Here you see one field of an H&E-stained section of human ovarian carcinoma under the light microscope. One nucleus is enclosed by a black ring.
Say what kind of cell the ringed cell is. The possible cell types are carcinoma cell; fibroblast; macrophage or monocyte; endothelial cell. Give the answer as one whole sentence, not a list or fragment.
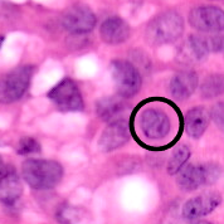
It is as a carcinoma cell that the ringed cell is recorded.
